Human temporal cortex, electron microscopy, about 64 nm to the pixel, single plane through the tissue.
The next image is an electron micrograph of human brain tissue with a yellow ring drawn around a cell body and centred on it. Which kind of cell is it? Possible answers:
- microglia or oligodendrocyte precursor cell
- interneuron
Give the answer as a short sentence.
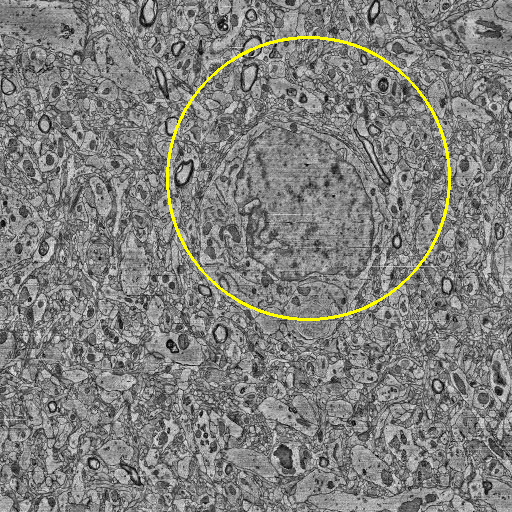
In the ring's centre is an interneuron.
